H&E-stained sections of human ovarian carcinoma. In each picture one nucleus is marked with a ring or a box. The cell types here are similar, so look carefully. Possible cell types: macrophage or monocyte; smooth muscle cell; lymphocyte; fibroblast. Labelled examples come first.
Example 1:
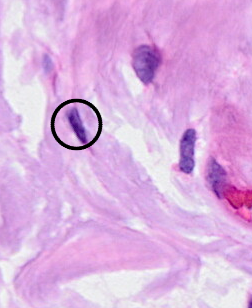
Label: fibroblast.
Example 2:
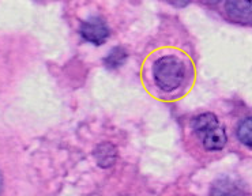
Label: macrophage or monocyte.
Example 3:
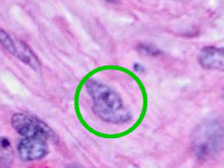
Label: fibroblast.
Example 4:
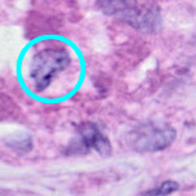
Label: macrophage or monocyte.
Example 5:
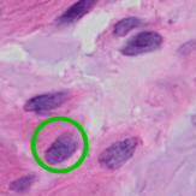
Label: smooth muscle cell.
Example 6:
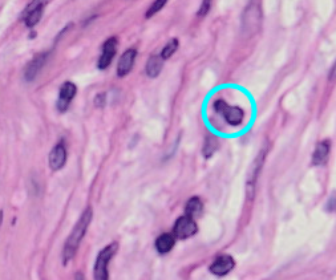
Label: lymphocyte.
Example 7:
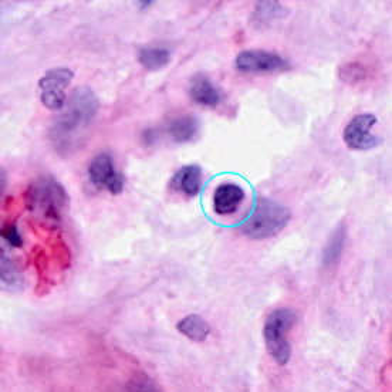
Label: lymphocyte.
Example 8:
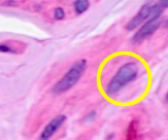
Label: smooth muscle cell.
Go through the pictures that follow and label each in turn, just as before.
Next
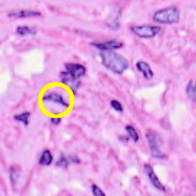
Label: fibroblast.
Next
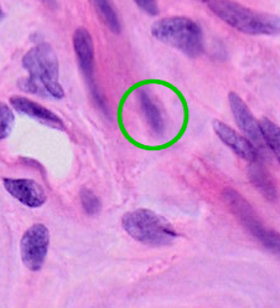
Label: smooth muscle cell.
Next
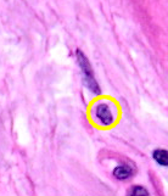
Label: lymphocyte.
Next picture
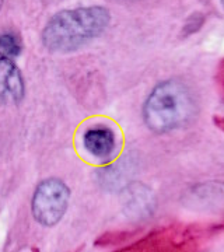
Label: lymphocyte.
